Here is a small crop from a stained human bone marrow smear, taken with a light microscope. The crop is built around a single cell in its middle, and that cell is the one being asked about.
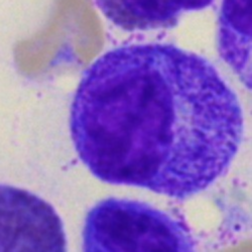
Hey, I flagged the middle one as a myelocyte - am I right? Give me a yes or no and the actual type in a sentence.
No, the central cell here is a promyelocyte; calling it a myelocyte is not right.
